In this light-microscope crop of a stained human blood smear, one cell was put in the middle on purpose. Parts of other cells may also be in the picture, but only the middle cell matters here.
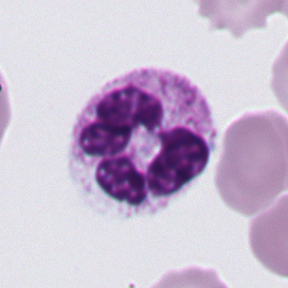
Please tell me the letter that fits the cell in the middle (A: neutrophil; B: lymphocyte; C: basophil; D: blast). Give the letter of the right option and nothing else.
A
